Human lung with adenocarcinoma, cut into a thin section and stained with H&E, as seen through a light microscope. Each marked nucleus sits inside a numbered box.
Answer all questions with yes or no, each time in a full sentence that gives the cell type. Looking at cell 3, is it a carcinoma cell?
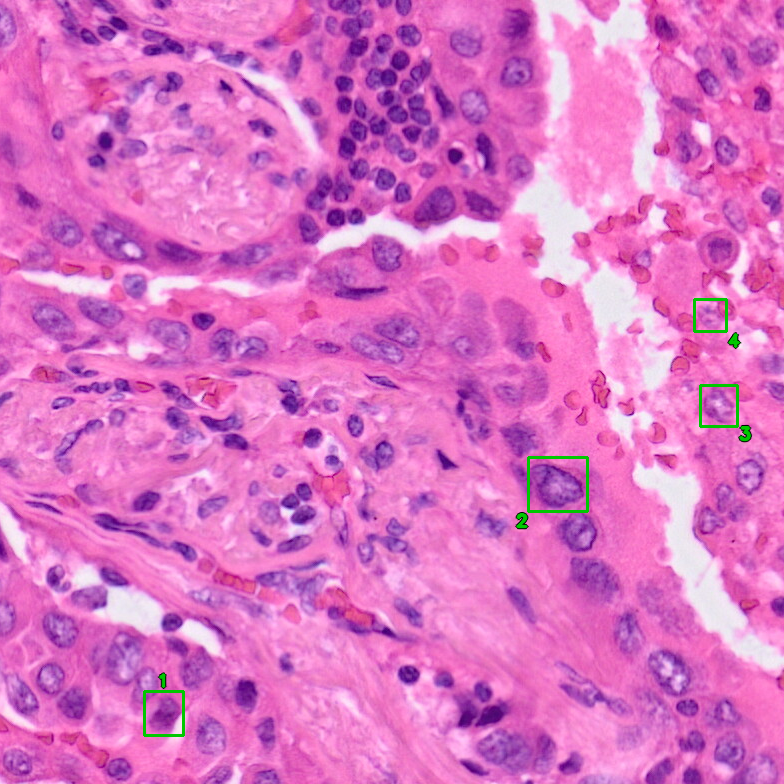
No, rather than a carcinoma cell, cell number 3 is a macrophage or monocyte.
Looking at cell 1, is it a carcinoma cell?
Yes, for number 1, the cell is a carcinoma cell.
